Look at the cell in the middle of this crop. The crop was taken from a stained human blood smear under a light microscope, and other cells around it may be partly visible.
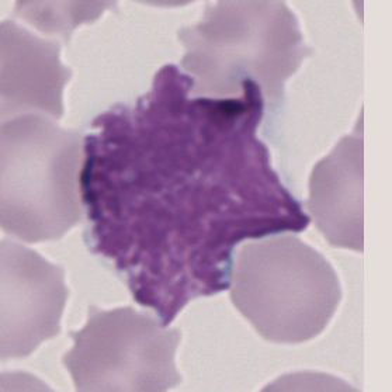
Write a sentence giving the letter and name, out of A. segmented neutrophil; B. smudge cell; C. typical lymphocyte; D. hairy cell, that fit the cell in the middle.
What sits in the middle of the crop is a smudge cell, and option B is correct.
